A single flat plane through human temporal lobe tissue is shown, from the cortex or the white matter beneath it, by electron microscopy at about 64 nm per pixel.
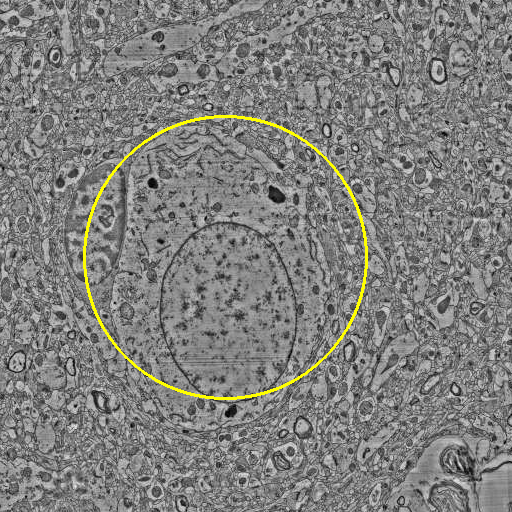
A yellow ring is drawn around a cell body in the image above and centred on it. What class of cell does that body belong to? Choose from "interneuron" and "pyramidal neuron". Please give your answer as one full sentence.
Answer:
The yellow ring above is centred on the cell body of a pyramidal neuron.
